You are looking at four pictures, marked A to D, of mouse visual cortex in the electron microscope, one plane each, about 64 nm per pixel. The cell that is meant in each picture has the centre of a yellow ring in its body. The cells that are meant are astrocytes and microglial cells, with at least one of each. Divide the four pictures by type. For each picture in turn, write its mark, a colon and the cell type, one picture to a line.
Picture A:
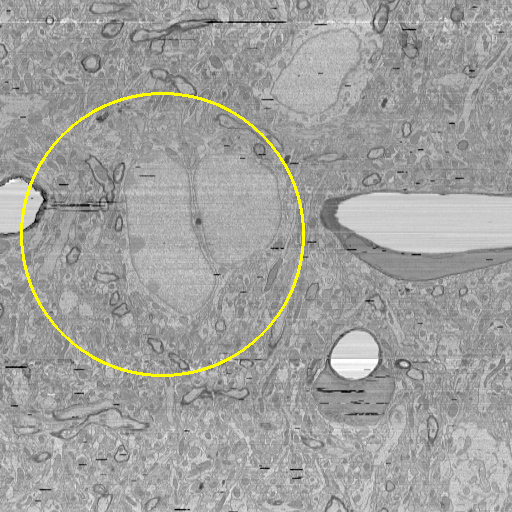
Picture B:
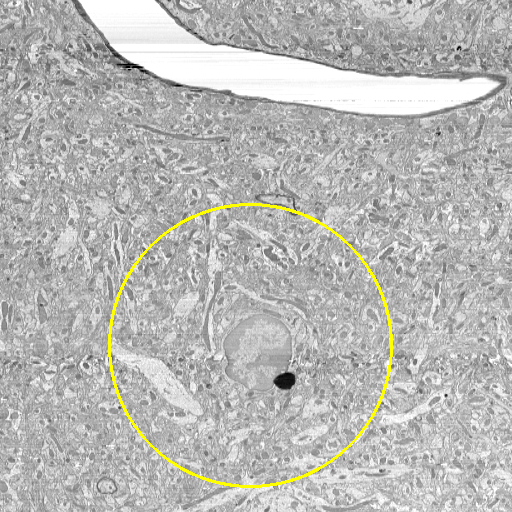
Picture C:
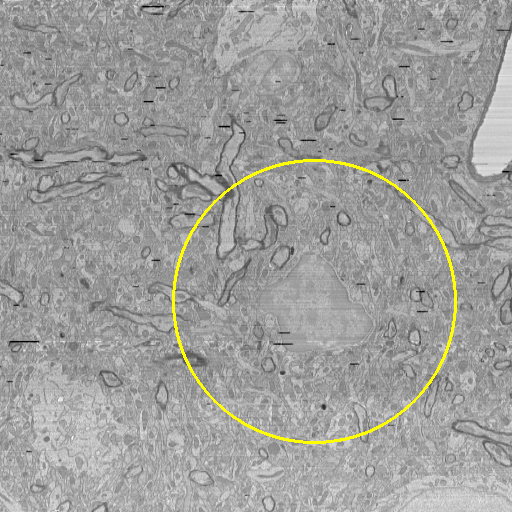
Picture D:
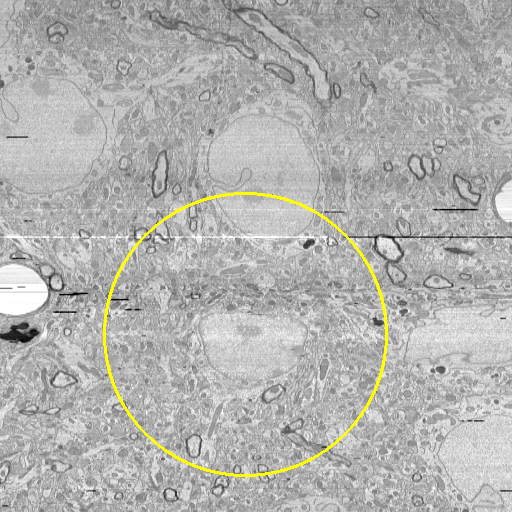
A: astrocyte
B: microglial cell
C: microglial cell
D: astrocyte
